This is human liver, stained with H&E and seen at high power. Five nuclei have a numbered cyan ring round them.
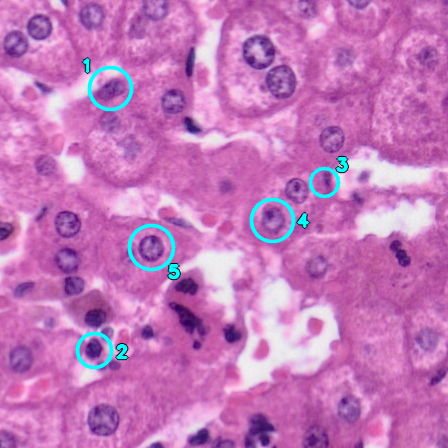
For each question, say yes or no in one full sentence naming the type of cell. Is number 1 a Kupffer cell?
Yes, as for number 1, the cell is a Kupffer cell.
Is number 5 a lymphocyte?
No, cell 5 is classified as a hepatocyte rather than a lymphocyte.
